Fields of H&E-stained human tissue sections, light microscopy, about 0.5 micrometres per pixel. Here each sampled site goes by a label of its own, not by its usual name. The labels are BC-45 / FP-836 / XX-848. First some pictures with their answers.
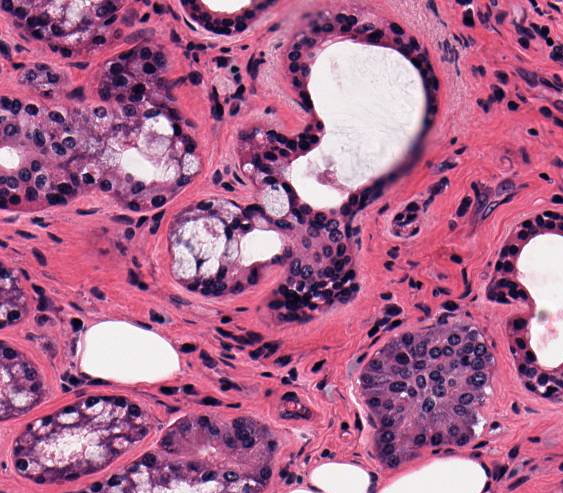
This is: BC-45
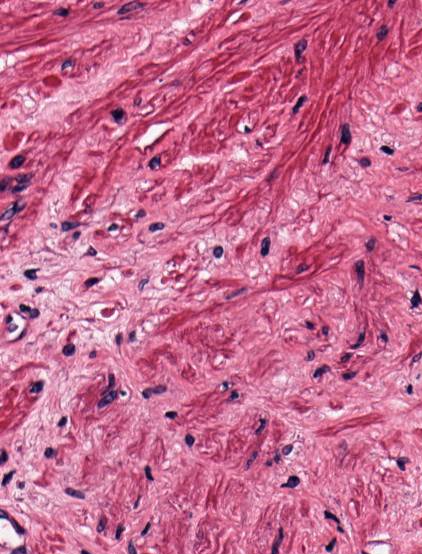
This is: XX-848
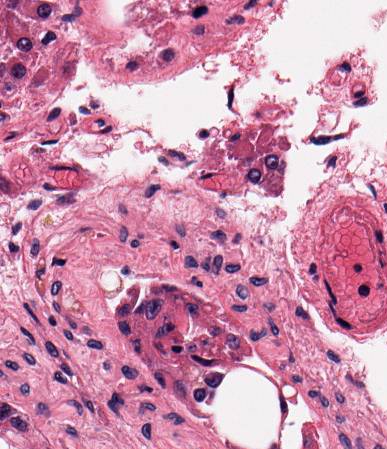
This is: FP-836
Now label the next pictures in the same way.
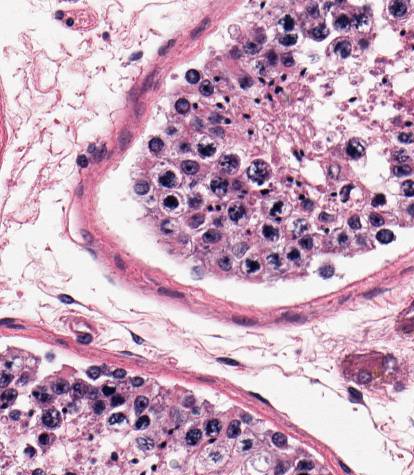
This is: FP-836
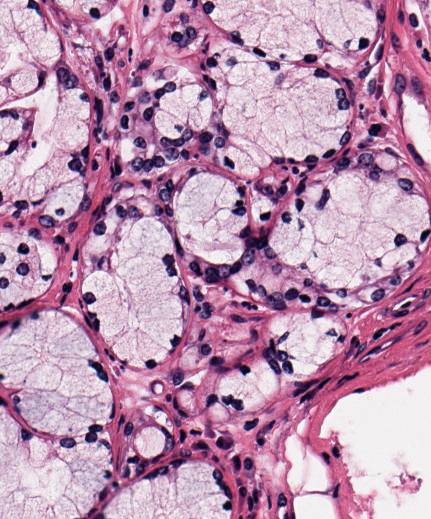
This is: BC-45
